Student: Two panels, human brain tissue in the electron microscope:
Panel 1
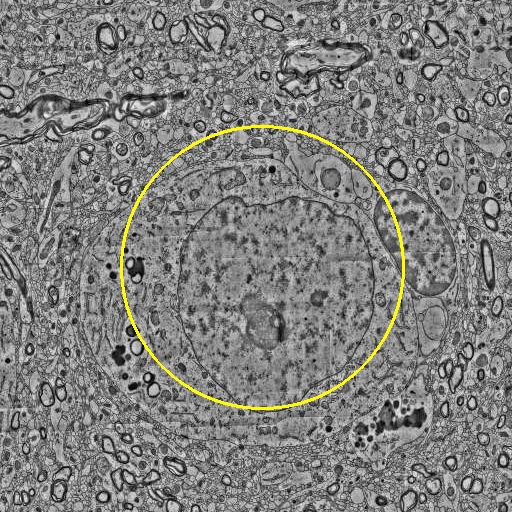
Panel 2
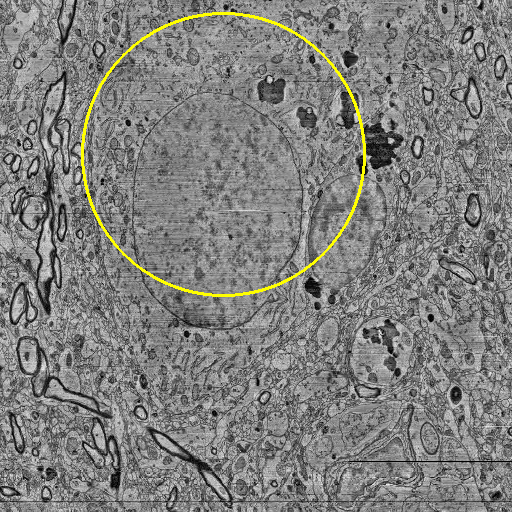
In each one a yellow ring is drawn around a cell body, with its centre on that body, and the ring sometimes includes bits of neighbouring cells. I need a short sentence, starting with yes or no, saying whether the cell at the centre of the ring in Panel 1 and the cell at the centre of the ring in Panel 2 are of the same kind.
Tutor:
Yes, they are the same kind of cell.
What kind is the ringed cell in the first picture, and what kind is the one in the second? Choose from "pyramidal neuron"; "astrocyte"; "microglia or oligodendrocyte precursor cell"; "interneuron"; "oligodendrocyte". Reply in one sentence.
Each one of the two ringed cells is a pyramidal neuron.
